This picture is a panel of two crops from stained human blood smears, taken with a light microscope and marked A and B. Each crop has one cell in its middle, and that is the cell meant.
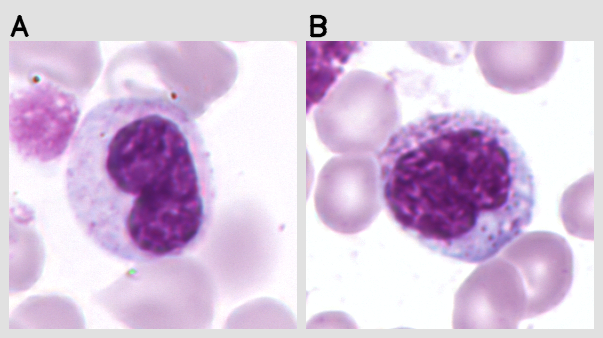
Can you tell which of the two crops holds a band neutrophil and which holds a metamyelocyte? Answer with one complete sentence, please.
Crop A contains a band neutrophil, and crop B, a metamyelocyte.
